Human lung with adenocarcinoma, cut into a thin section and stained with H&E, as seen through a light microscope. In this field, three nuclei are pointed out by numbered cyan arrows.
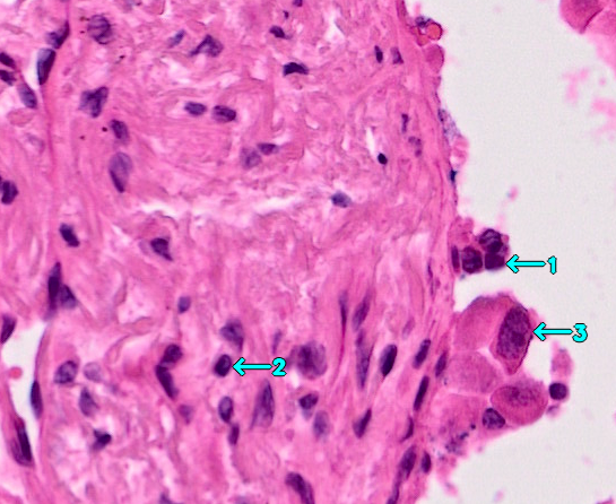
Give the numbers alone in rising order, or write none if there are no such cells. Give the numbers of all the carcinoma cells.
3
